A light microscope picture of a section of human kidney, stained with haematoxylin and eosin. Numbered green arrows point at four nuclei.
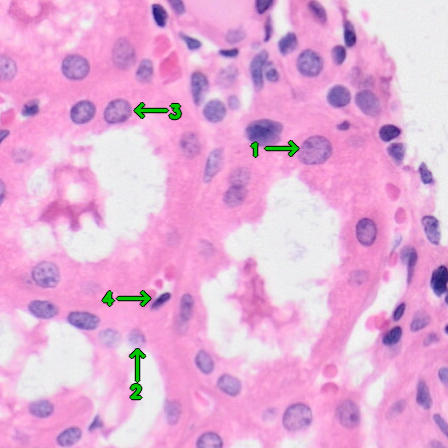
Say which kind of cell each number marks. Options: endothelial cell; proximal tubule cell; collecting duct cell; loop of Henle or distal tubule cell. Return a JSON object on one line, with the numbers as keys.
{"1": "proximal tubule cell", "2": "loop of Henle or distal tubule cell", "3": "proximal tubule cell", "4": "endothelial cell"}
